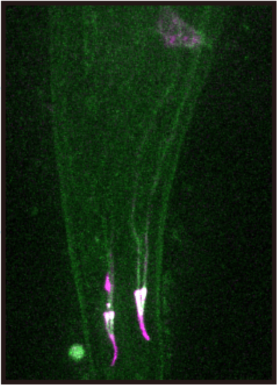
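This is the tapering tail of a nematode, where two short bright rods near the tip are the phasmid sensory cilia, green and magenta overlapping so that they look nearly white. Faint green lines run lengthwise through the tail toward these rods, and a small magenta patch sits further up at the top of the view.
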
